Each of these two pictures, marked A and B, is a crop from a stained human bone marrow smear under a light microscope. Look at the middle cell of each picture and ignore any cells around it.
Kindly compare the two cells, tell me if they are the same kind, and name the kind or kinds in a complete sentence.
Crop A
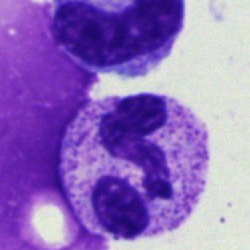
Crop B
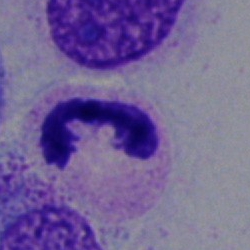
Yes, segmented neutrophils are shown in both crops.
